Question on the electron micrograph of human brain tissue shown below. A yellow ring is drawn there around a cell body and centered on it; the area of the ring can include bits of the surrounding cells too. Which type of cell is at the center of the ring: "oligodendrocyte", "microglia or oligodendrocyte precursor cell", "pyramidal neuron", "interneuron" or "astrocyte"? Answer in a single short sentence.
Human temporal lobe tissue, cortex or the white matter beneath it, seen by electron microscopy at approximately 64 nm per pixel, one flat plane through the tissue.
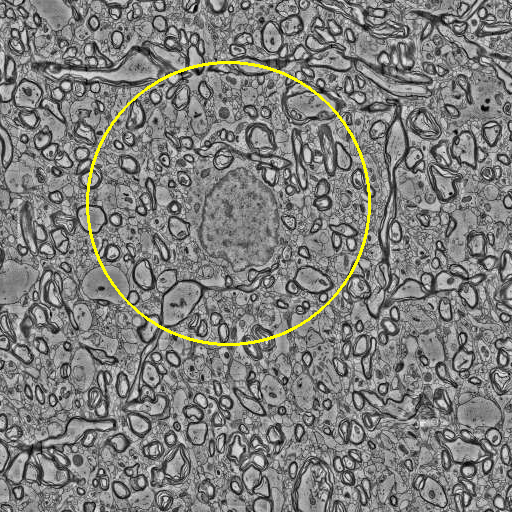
The ring is centered on an oligodendrocyte.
